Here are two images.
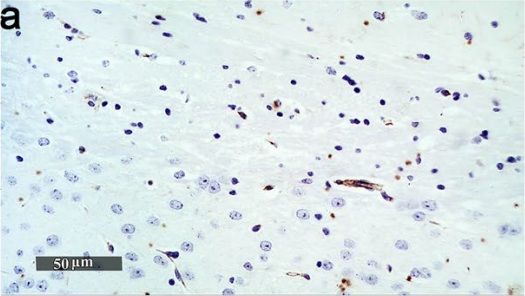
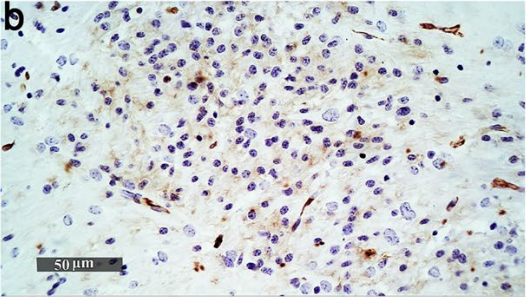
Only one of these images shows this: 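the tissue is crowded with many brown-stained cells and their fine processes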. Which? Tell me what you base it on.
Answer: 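Second image: a dense patch of crowded nuclei with abundant fine brown staining between them. First image: sparse, evenly spaced nuclei with only a few small brown dots and brown-outlined vessels.
Conclusion: the second image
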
